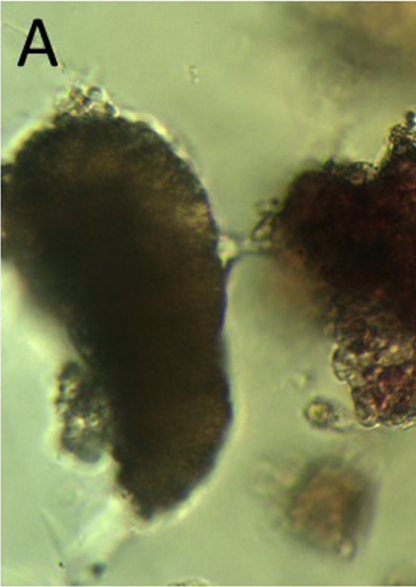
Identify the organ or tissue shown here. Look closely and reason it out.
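The stain has a granular texture.
Islet.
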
